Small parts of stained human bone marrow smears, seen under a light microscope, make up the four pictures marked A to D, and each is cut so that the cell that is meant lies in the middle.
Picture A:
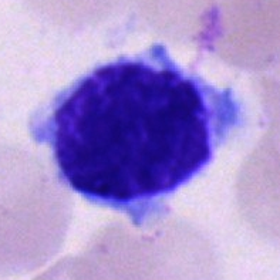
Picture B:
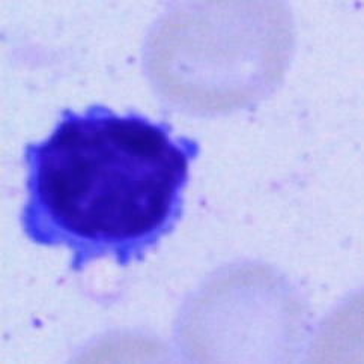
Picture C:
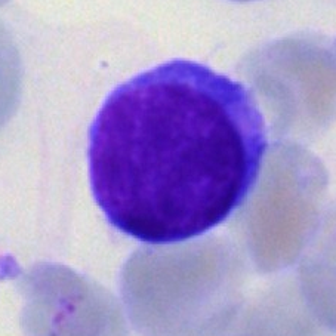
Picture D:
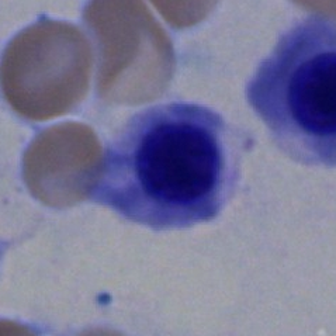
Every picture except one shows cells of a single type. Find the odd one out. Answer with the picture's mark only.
D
